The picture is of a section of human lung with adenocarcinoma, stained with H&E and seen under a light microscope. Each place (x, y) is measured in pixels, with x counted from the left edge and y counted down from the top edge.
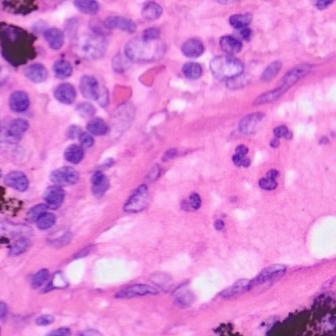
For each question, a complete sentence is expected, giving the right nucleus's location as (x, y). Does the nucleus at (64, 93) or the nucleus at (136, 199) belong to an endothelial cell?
Here the nucleus at (136, 199) is the one that belongs to an endothelial cell.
